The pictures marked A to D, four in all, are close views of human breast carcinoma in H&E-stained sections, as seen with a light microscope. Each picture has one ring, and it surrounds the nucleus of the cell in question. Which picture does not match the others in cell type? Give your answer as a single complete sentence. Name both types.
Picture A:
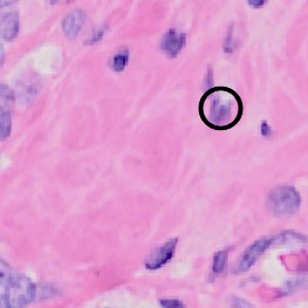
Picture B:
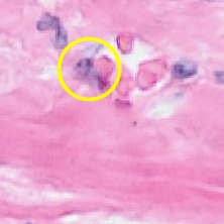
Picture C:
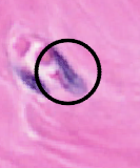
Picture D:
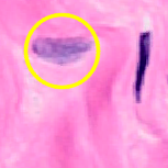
Unlike the rest, which show endothelial cells, picture D shows a fibroblast.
